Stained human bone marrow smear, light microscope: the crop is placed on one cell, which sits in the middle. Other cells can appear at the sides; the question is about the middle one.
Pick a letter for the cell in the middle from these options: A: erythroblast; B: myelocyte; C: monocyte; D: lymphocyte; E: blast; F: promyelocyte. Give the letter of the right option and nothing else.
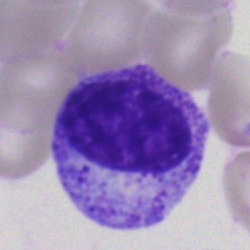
B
